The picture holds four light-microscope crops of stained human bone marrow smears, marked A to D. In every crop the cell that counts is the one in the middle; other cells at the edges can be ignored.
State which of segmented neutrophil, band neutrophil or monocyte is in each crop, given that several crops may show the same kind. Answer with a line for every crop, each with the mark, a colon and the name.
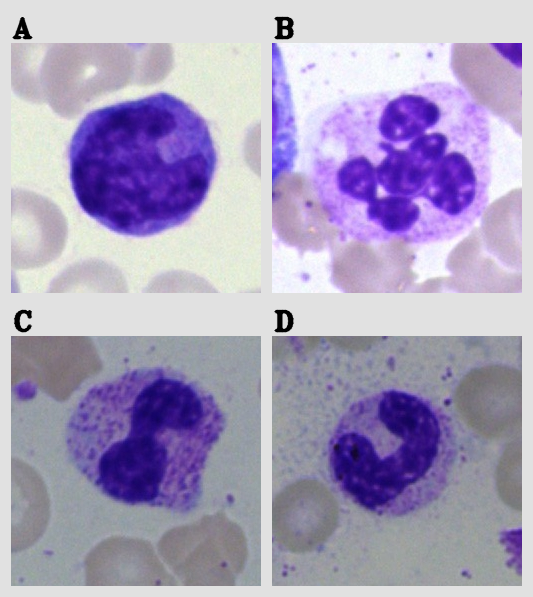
A: monocyte
B: segmented neutrophil
C: band neutrophil
D: band neutrophil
